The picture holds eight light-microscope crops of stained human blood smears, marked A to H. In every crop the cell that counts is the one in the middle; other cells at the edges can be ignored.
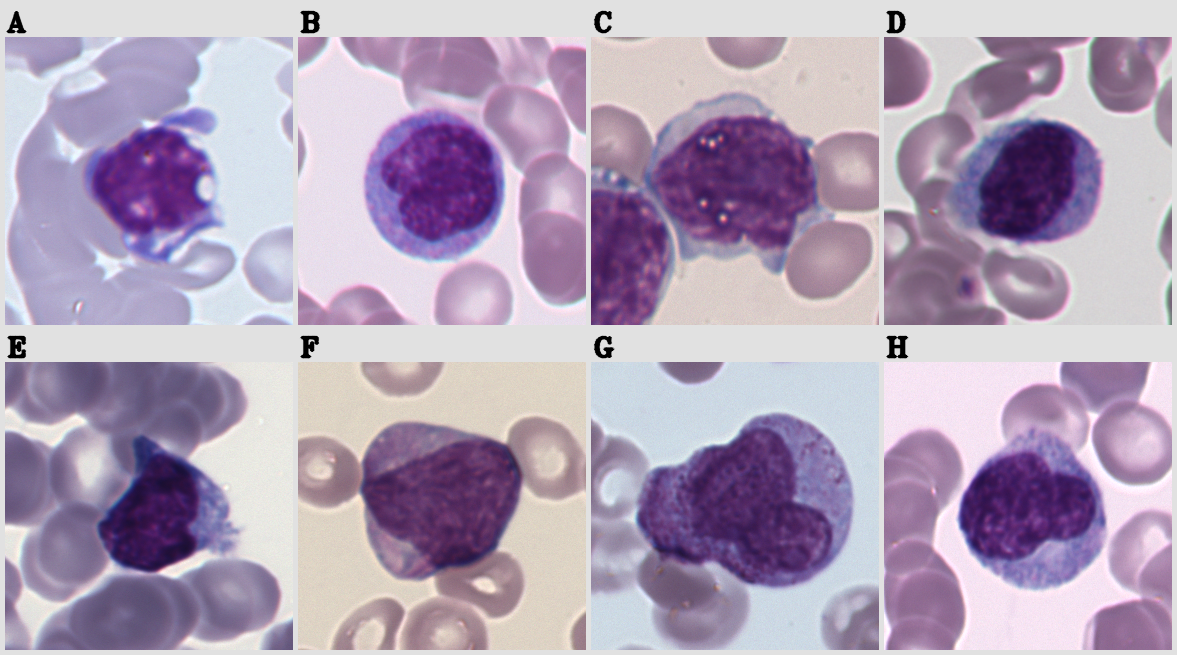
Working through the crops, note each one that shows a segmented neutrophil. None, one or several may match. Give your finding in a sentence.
Zero crops in this set show a segmented neutrophil.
